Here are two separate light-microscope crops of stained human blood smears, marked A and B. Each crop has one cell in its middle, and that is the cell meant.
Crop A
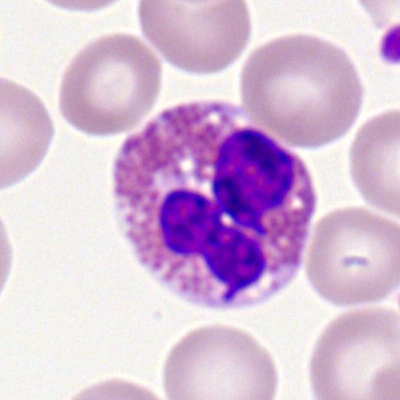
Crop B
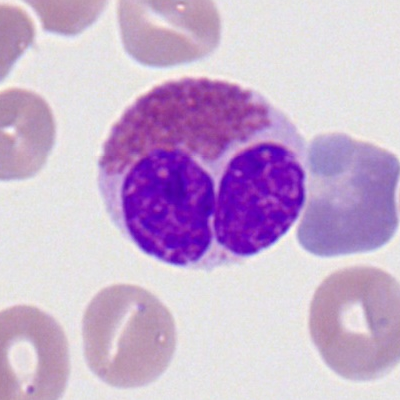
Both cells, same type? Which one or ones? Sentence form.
Yes, both crops show eosinophils, and that holds for each one.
